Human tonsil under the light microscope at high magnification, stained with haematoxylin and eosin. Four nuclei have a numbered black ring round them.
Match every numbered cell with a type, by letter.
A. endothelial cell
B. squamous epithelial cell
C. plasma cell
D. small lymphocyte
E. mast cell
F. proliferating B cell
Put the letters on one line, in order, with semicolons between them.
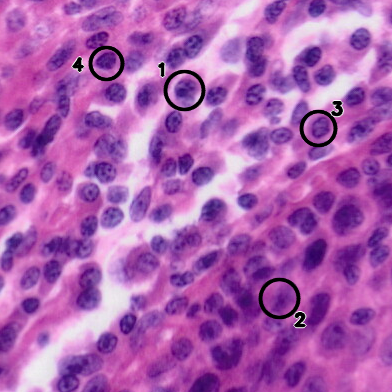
C; B; C; C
